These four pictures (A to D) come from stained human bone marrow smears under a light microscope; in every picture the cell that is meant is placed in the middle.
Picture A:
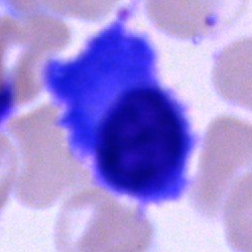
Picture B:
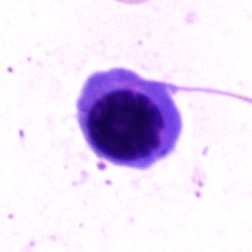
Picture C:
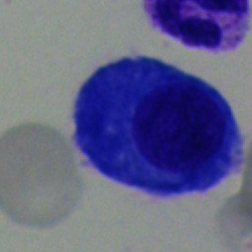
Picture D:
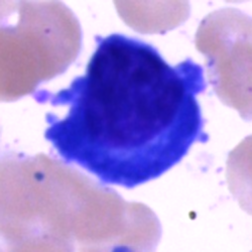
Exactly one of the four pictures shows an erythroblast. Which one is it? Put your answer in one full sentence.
The picture with the erythroblast is B.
